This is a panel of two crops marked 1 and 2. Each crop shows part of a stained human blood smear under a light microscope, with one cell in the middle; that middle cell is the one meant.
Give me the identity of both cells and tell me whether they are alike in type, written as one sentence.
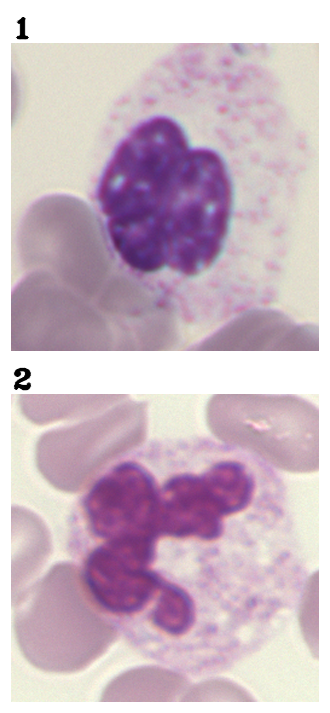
Yes, segmented neutrophils occupy the centre of both crops.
